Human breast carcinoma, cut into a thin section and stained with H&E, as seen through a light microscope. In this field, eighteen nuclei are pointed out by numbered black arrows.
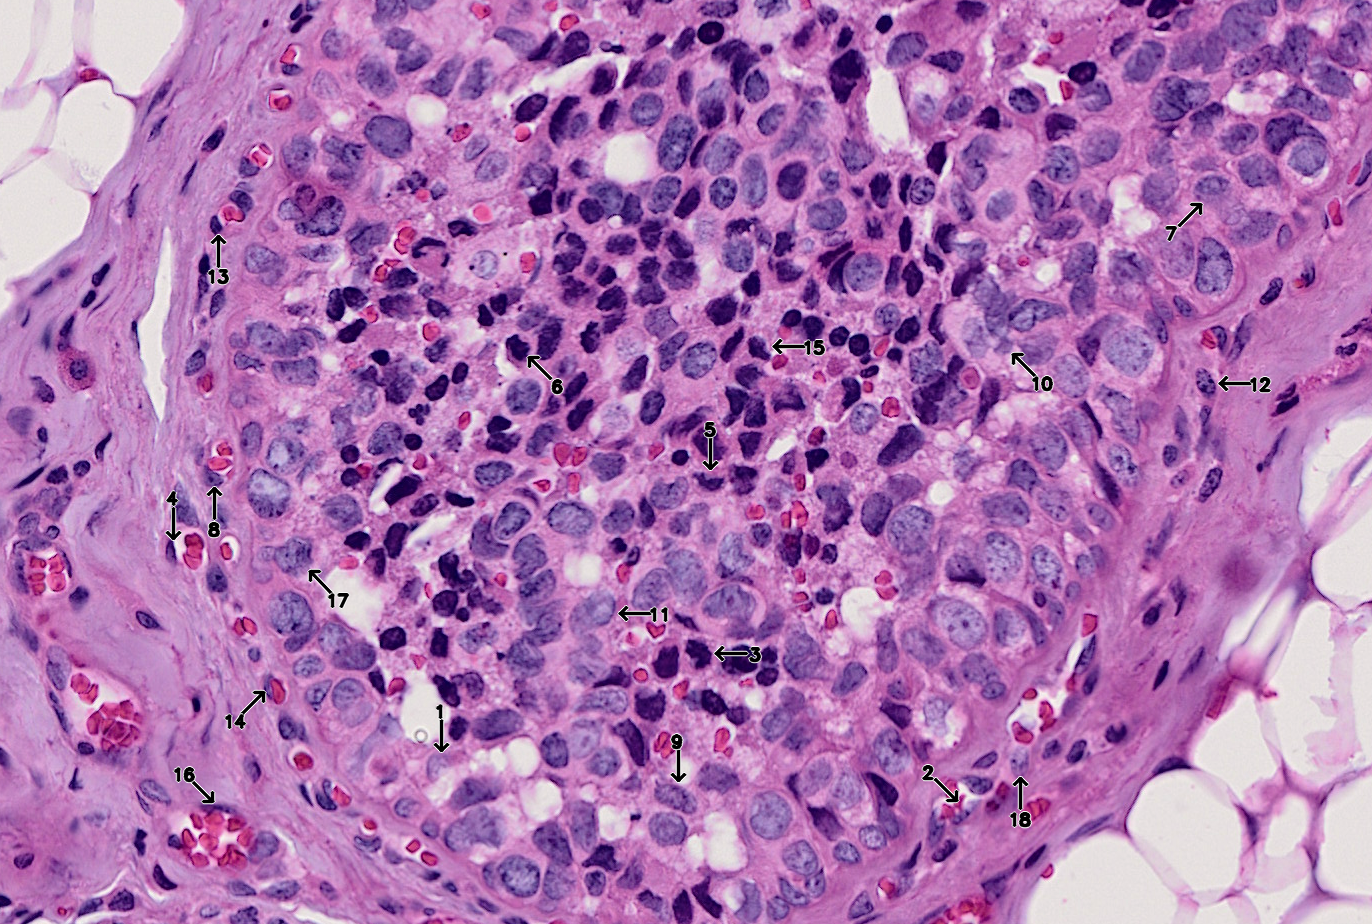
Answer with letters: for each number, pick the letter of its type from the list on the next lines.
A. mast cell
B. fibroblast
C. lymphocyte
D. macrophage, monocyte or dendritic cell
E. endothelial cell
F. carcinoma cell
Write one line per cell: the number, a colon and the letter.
1: F
2: E
3: F
4: E
5: F
6: F
7: F
8: E
9: F
10: F
11: F
12: A
13: E
14: E
15: F
16: E
17: F
18: E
